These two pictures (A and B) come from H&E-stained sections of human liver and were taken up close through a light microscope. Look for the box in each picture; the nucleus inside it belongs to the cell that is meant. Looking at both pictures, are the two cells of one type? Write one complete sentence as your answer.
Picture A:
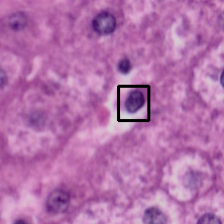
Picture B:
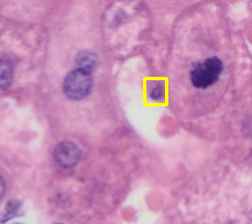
Yes, both cells are Kupffer cells.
